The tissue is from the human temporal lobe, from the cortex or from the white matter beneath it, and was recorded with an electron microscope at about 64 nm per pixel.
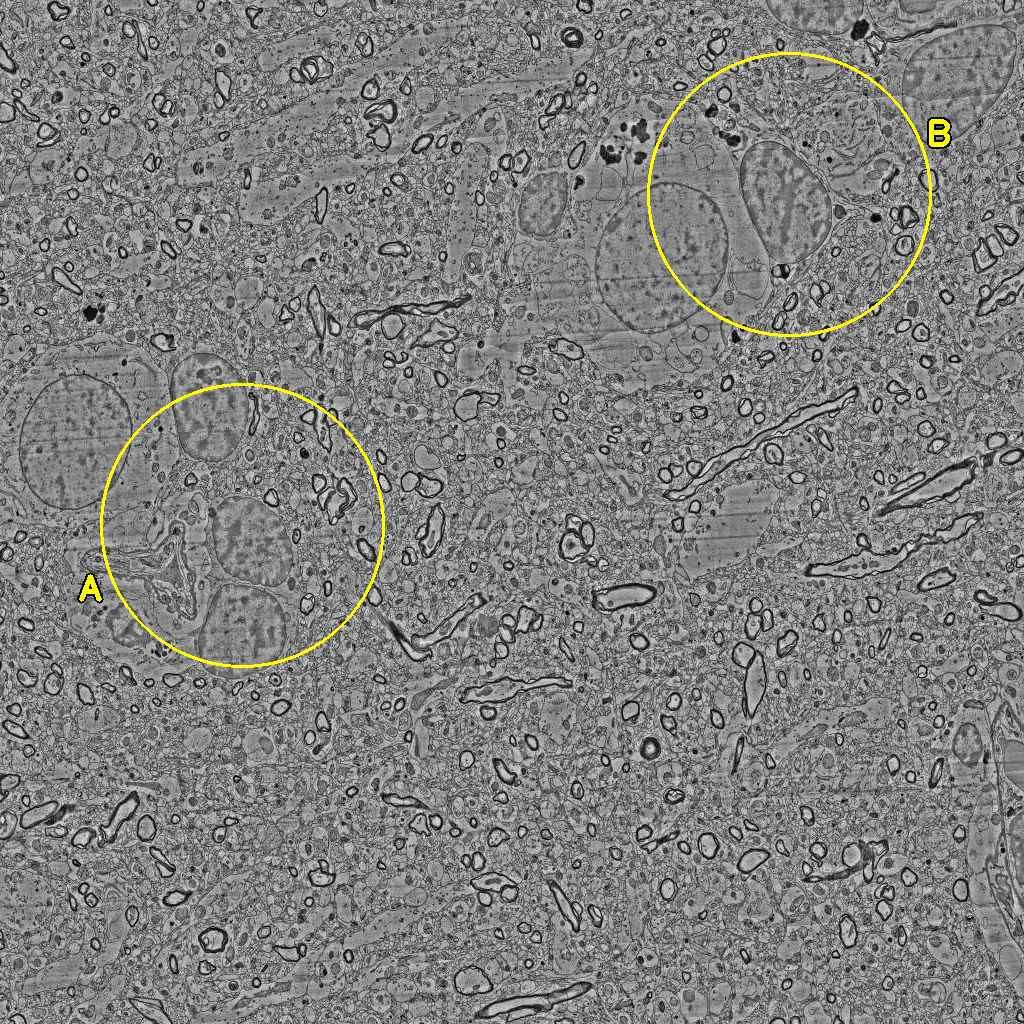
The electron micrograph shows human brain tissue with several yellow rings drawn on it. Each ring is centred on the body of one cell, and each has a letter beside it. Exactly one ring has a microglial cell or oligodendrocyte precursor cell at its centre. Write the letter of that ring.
B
